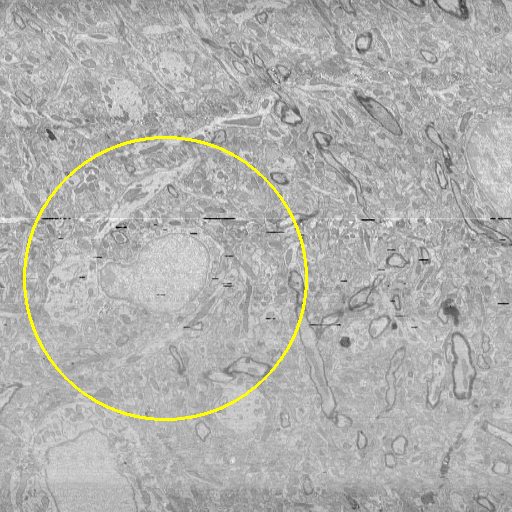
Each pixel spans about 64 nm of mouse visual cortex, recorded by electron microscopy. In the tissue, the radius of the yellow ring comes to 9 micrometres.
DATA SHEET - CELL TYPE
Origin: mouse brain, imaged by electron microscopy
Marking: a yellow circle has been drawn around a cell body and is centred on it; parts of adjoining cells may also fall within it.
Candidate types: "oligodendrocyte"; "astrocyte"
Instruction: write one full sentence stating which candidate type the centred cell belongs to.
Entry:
The cell body at the centre of the yellow ring in this micrograph belongs to an astrocyte.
